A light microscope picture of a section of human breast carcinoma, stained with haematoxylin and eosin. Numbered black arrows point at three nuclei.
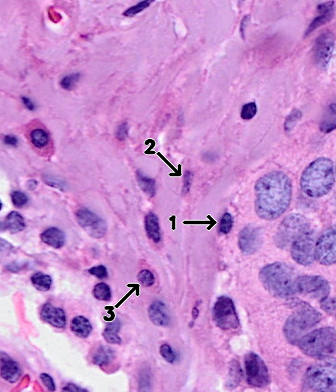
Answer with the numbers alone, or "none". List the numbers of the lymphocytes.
1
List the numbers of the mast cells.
3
